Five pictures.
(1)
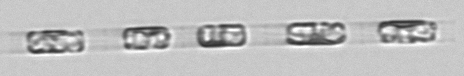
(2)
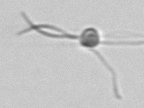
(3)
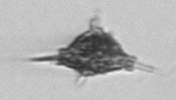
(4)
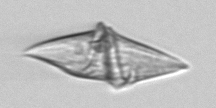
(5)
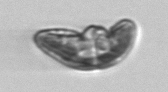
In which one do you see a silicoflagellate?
In picture 3.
